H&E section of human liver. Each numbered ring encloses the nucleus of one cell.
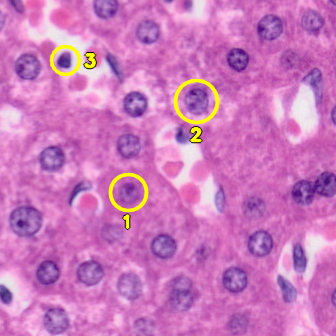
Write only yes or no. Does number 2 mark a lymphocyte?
no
